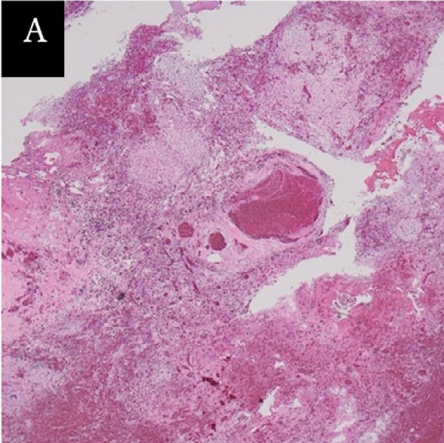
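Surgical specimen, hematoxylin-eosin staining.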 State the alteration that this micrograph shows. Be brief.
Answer: Bleeding components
